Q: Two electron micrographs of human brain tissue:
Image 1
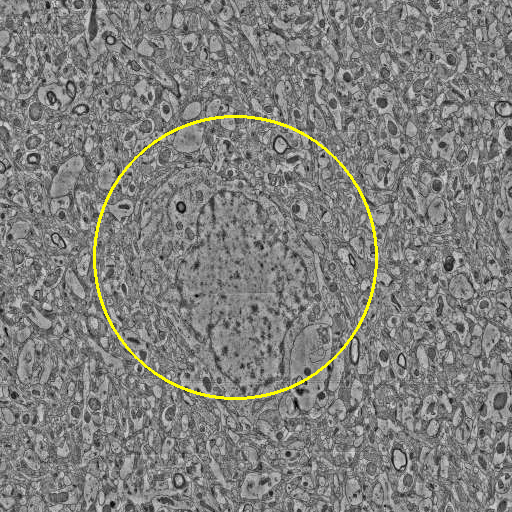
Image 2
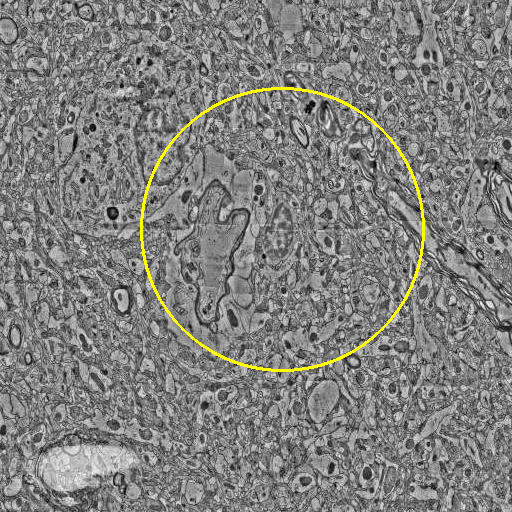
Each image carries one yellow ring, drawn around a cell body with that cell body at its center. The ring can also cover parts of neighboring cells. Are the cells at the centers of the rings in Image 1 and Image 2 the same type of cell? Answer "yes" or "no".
no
